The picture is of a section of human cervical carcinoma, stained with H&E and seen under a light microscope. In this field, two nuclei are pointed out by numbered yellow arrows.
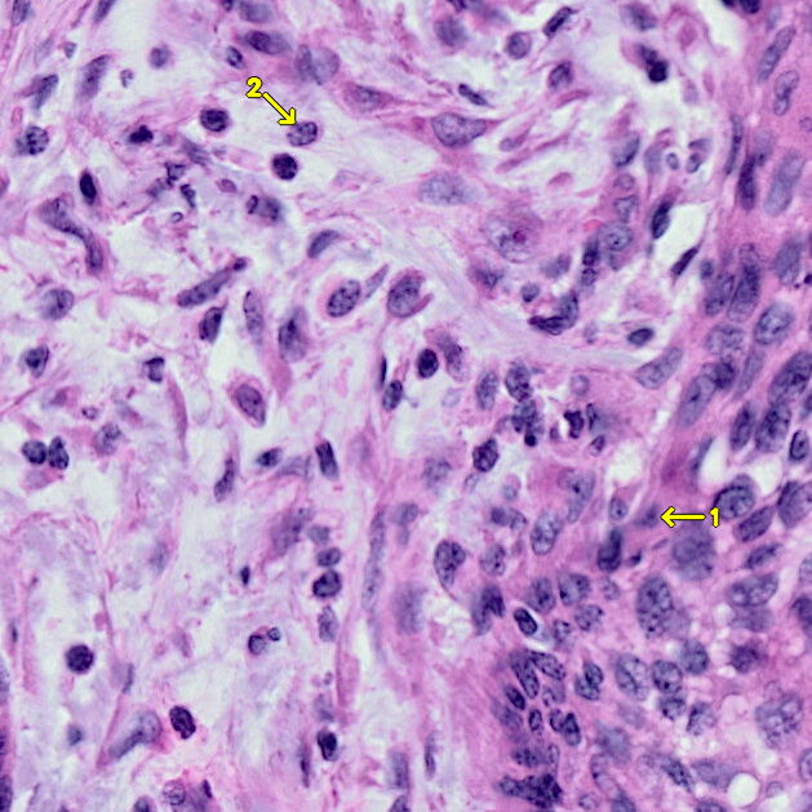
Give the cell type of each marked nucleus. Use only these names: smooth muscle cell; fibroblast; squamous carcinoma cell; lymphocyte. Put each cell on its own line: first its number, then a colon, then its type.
1: squamous carcinoma cell
2: lymphocyte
